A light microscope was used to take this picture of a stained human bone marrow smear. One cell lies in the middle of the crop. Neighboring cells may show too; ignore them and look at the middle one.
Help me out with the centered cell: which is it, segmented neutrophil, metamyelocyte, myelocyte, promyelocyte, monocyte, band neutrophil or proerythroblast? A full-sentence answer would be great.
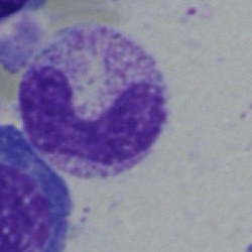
Centred in the crop is a band neutrophil.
